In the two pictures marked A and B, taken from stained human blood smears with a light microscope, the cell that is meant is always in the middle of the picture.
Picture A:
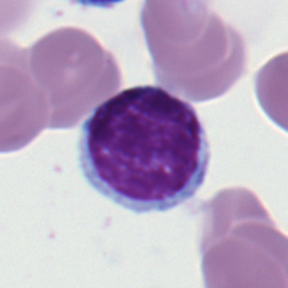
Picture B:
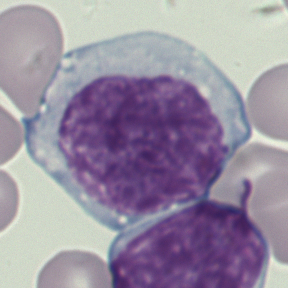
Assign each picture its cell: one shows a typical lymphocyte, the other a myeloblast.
A: typical lymphocyte
B: myeloblast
